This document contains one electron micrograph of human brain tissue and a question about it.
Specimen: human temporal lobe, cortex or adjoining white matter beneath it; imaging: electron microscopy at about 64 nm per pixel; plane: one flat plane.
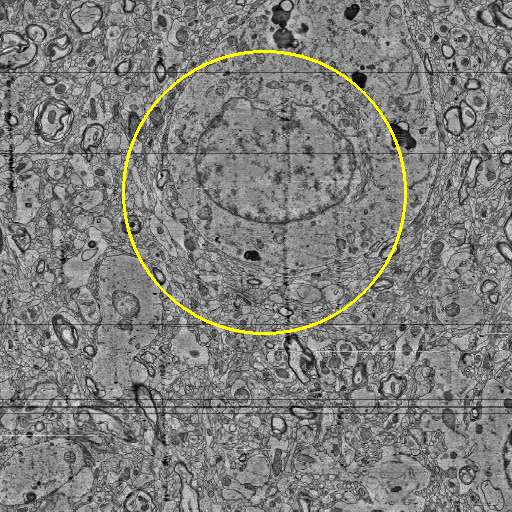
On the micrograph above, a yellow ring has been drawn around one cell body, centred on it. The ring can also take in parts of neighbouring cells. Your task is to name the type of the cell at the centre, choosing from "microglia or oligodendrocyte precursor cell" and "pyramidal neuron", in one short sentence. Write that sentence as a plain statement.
Here the ring is centred on a pyramidal neuron.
